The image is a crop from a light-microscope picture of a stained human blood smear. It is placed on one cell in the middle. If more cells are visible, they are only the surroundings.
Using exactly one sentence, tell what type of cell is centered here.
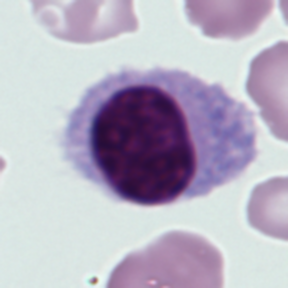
The cell at the middle of the crop is recognized as a hairy cell.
